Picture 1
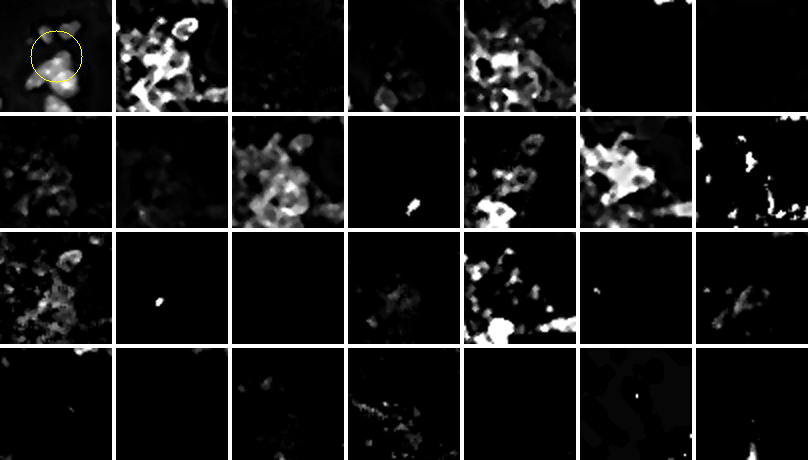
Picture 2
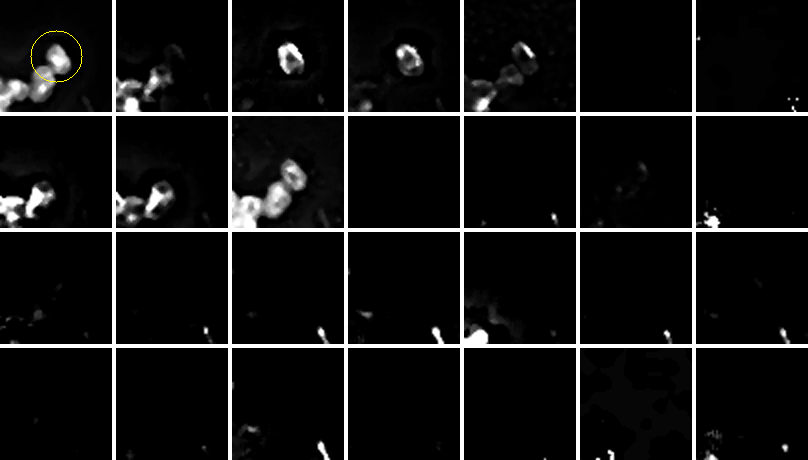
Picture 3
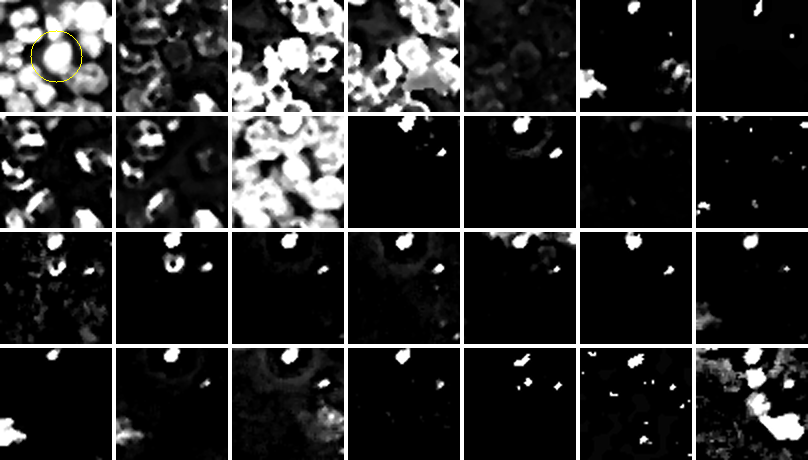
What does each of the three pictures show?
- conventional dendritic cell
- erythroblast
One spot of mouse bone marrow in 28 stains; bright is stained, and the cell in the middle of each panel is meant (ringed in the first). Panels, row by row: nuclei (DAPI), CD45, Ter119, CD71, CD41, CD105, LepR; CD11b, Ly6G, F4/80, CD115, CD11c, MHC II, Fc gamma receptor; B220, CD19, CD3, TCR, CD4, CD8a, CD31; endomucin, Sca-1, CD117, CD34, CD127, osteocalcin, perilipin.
1: conventional dendritic cell
2: erythroblast
3: erythroblast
